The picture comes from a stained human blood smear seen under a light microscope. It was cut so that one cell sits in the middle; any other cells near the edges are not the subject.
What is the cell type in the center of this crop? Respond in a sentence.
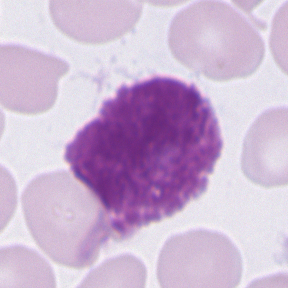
The cell at the central position in this crop is a smudge cell.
